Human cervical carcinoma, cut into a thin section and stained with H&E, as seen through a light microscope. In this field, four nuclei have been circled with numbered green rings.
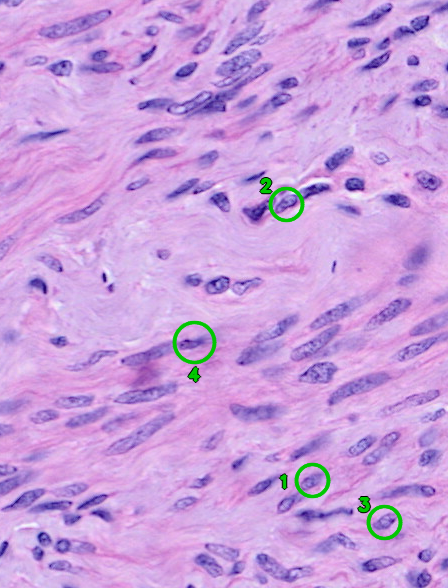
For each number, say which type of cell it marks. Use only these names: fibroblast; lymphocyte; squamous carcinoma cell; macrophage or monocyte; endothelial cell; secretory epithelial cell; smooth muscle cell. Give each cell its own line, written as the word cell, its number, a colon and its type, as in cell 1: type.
cell 1: smooth muscle cell
cell 2: endothelial cell
cell 3: smooth muscle cell
cell 4: smooth muscle cell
